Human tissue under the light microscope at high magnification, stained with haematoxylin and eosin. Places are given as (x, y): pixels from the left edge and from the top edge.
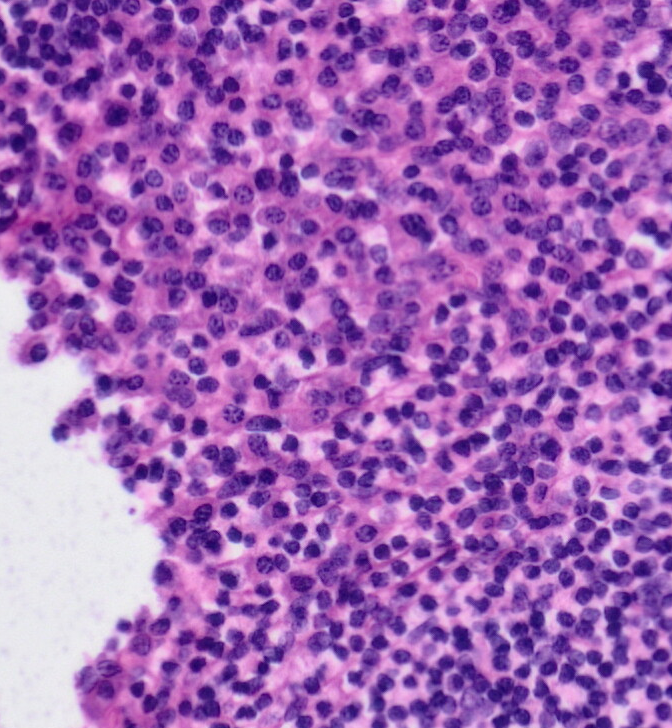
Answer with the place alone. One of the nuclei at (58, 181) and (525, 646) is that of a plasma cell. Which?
(58, 181)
